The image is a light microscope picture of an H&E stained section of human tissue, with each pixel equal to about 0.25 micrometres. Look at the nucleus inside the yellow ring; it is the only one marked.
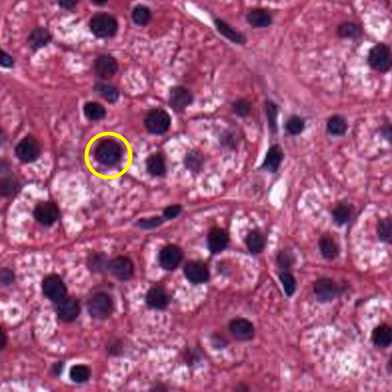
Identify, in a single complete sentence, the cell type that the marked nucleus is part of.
The marked nucleus is located in an adrenal cortical cell.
